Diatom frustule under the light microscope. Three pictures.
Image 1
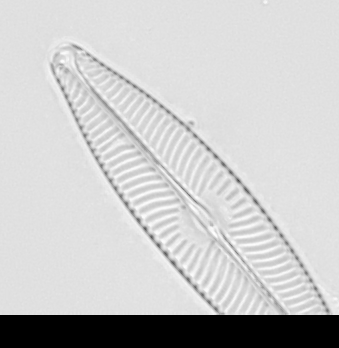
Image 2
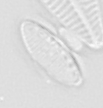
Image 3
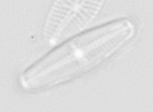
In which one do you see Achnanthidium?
In picture 3.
